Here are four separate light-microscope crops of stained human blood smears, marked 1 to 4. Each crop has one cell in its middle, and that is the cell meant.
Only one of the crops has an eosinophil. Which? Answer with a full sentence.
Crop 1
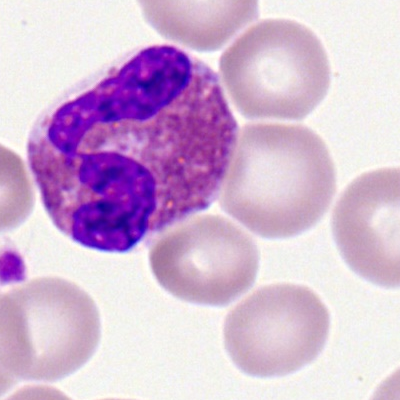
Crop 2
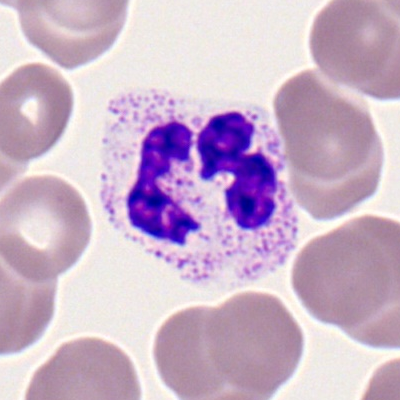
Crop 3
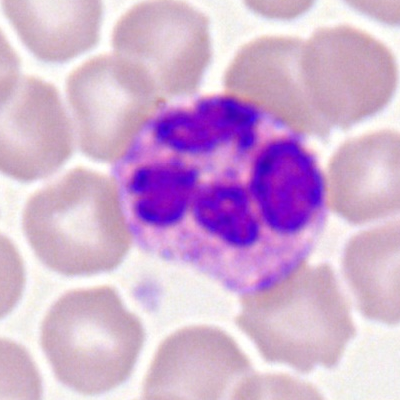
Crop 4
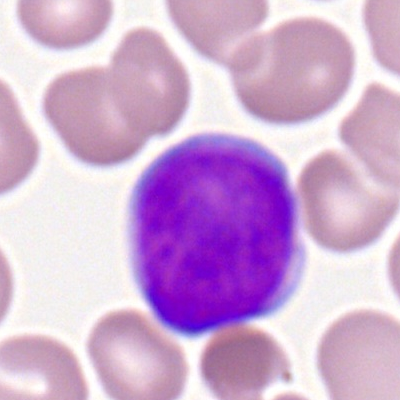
It is crop 1 that shows an eosinophil.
